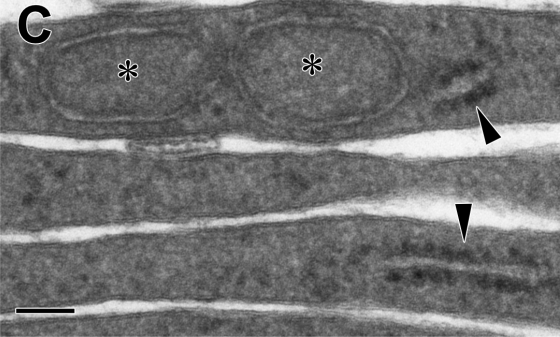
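This high-magnification transmission electron micrograph shows several electron-dense lamellae lying in parallel, separated by thin pale clefts. The uppermost lamella contains two oval profiles bounded by double membranes, with finely granular contents, resembling mitochondria. Near the right edge of the lamellae lie short stacks of parallel dark membranes lined by granular material, consistent with rough endoplasmic reticulum. The rest of the lamellar cytoplasm is uniformly grey and finely granular. The clefts between the lamellae are narrow and pale, and the lamellae run horizontally across the field.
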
